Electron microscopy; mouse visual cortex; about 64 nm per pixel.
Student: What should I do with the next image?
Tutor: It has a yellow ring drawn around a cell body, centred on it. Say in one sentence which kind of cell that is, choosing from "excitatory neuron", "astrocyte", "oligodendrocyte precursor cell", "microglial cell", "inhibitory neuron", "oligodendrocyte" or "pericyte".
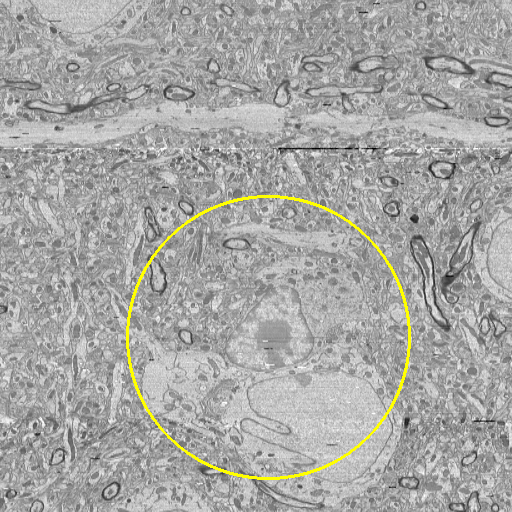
The ring's centre is occupied by an oligodendrocyte.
